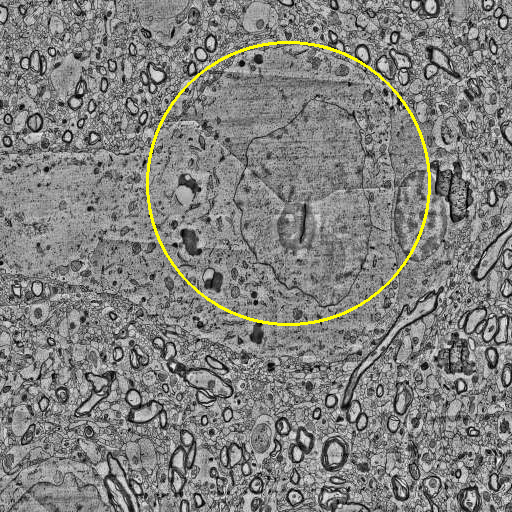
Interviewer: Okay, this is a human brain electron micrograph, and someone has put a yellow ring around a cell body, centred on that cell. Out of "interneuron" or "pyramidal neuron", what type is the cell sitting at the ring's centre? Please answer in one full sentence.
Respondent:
The cell at the centre of the yellow ring in this picture is a pyramidal neuron.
